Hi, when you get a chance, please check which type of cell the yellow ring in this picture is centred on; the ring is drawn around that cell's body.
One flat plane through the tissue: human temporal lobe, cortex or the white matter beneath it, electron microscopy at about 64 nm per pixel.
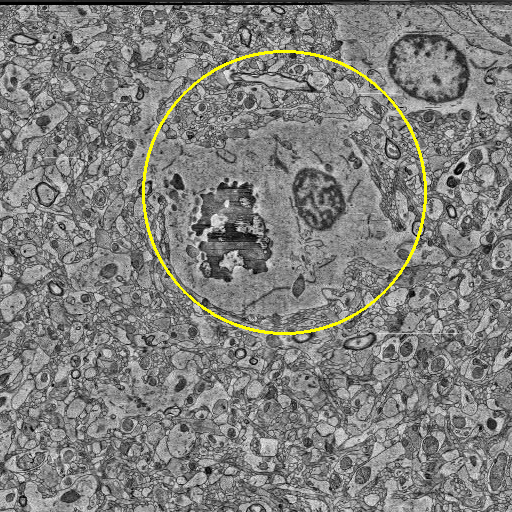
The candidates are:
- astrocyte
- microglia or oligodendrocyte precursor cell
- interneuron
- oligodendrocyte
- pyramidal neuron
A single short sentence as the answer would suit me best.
The ring is drawn around the body of an astrocyte.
